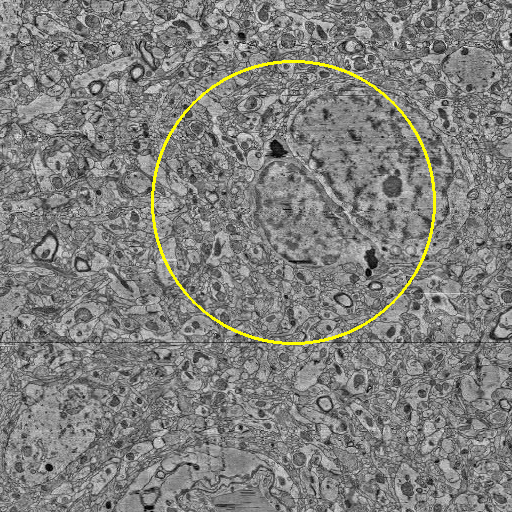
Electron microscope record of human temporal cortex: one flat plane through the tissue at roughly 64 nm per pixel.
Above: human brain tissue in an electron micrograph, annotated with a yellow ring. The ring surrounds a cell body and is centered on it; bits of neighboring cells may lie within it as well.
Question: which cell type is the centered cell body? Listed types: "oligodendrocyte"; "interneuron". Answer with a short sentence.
The centered cell body is an oligodendrocyte.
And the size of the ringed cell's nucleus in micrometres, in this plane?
In this plane, roughly 8 by 5 micrometres.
